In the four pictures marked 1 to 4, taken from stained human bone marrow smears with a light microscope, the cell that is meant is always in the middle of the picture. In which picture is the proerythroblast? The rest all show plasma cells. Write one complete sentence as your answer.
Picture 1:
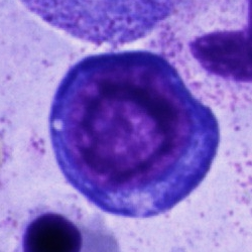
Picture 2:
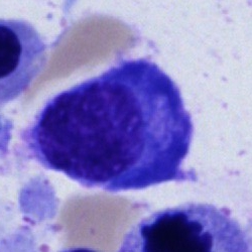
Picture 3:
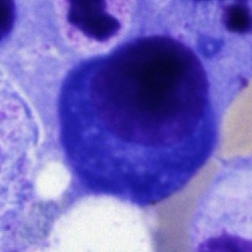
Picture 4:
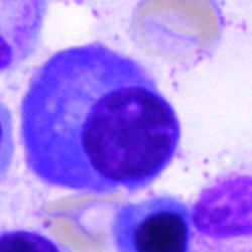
The picture with the proerythroblast is 1.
